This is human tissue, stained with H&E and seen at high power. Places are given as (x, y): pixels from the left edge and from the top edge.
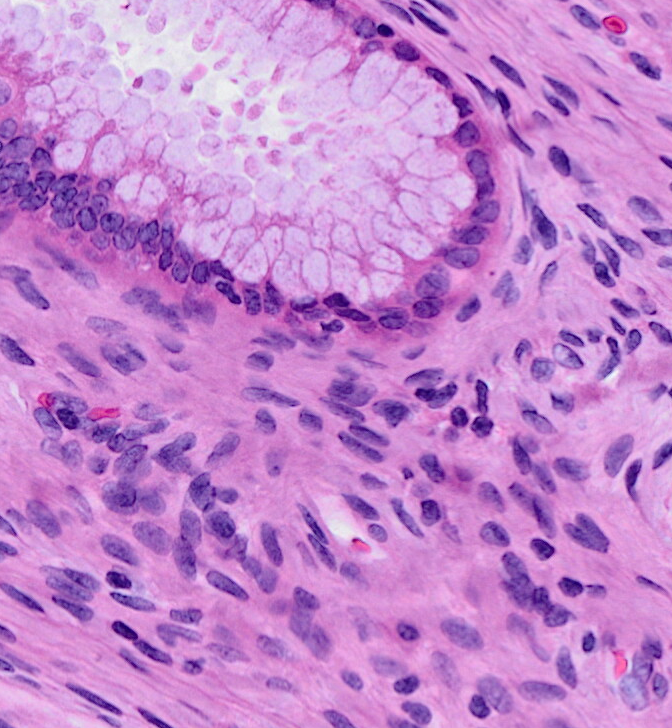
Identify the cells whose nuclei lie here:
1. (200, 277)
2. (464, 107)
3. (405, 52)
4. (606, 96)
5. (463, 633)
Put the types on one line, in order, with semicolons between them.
secretory epithelial cell; secretory epithelial cell; secretory epithelial cell; fibroblast; fibroblast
